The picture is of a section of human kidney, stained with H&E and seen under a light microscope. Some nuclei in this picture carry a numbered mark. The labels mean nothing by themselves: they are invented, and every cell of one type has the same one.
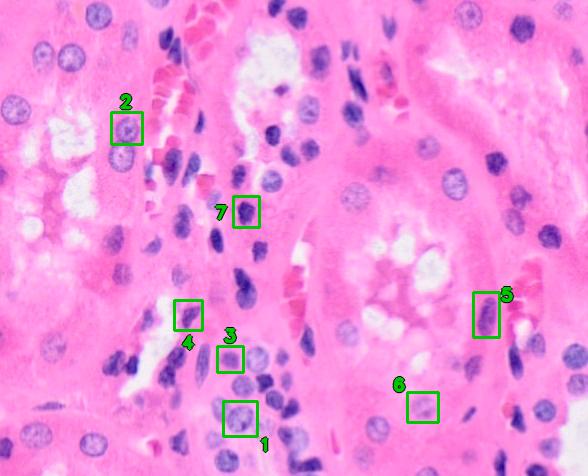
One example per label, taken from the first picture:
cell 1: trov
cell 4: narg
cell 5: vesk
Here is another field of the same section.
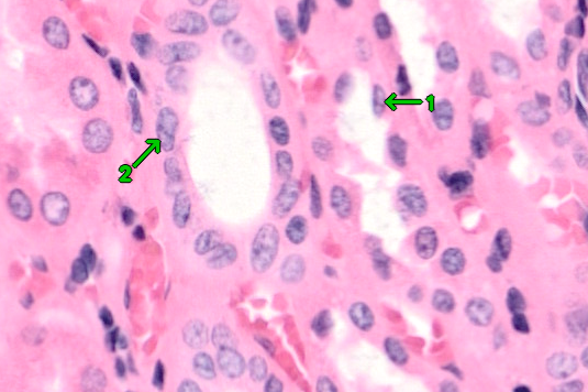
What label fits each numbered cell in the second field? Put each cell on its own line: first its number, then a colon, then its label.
1: narg
2: trov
